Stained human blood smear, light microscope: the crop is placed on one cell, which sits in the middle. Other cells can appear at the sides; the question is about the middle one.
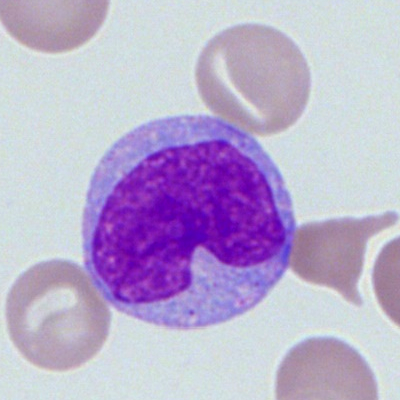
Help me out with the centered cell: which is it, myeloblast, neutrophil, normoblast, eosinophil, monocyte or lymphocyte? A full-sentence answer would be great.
The cell centred in this crop is categorized as a monocyte.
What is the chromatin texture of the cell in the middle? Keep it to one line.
Coarse clumps are absent, and the chromatin is fine throughout.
